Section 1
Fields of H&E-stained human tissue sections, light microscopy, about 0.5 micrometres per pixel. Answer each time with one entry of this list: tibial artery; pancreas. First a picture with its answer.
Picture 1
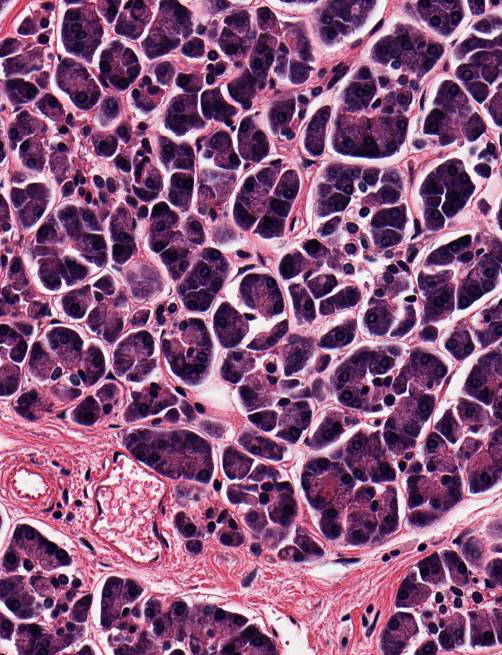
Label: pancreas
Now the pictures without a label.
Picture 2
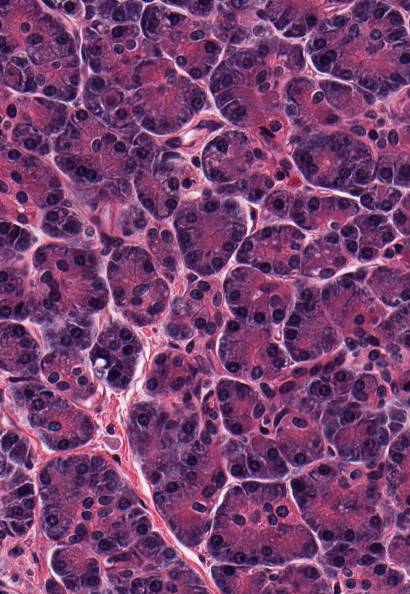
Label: pancreas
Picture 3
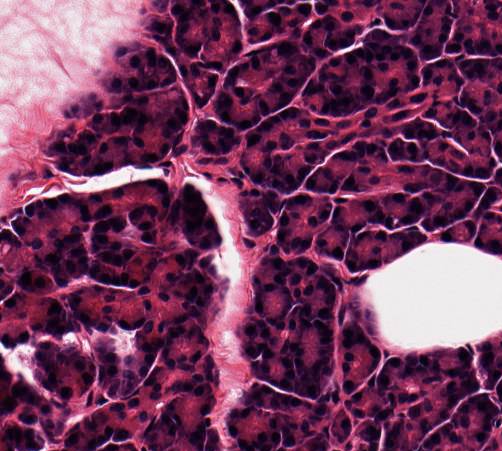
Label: pancreas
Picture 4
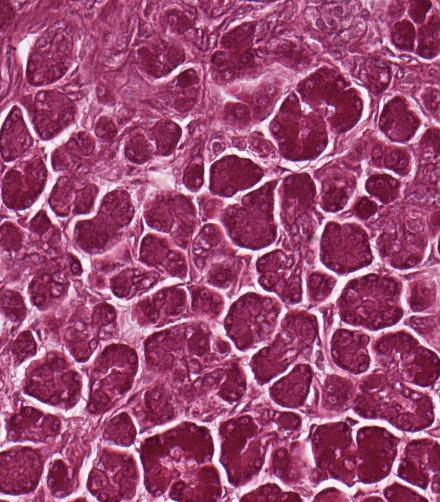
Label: pancreas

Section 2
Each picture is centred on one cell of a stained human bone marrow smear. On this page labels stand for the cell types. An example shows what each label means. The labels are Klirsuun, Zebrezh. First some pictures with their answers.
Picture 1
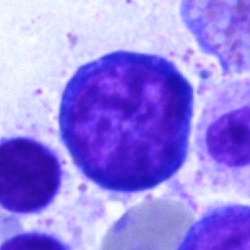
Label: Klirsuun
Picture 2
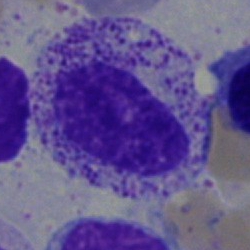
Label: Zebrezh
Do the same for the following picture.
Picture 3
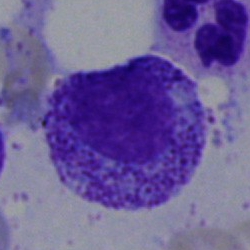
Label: Zebrezh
